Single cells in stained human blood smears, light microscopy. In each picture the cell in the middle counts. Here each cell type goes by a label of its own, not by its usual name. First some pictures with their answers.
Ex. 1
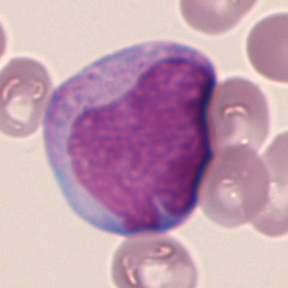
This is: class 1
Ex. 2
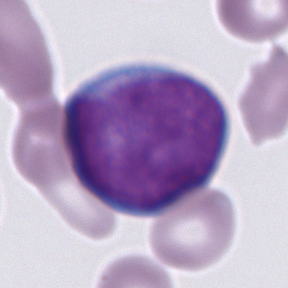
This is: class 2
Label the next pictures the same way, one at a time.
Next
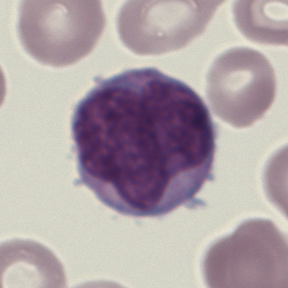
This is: class 1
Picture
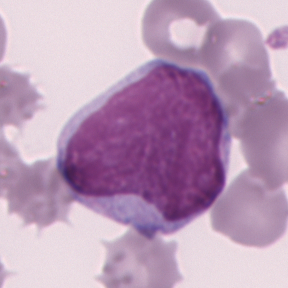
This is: class 2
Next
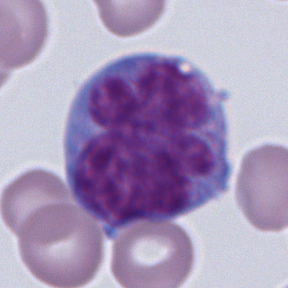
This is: class 2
